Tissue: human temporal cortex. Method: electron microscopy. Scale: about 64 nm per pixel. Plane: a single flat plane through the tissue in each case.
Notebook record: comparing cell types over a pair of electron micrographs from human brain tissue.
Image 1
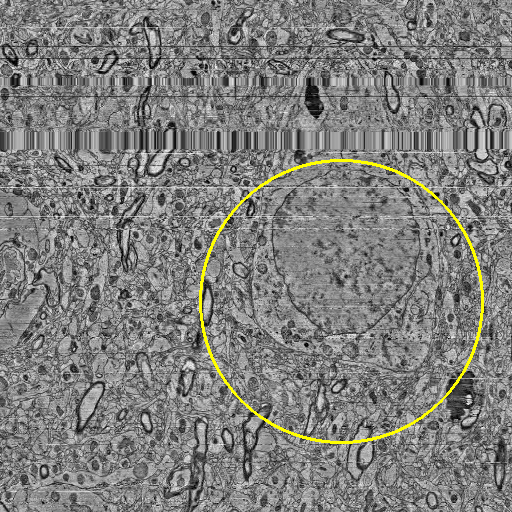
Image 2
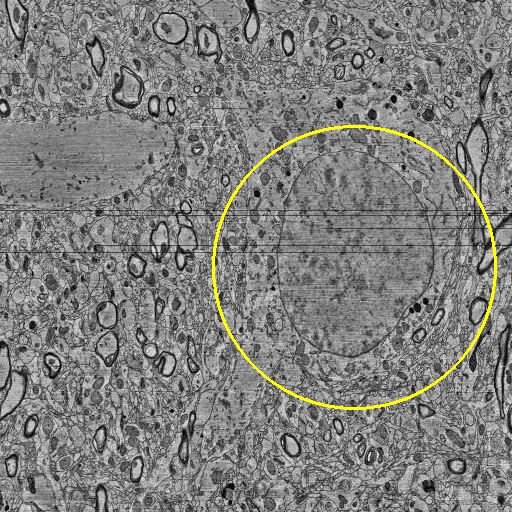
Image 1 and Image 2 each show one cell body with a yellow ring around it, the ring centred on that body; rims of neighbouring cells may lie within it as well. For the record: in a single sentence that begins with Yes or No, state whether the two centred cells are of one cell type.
Yes, one cell type is shared by the centred cells of Image 1 and Image 2.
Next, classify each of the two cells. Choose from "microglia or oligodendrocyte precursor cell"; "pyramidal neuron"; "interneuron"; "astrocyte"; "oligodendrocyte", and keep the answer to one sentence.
Each one of the two ringed cells is a pyramidal neuron.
